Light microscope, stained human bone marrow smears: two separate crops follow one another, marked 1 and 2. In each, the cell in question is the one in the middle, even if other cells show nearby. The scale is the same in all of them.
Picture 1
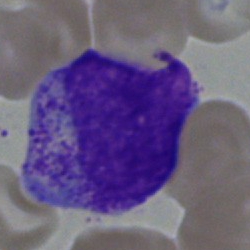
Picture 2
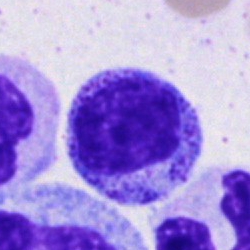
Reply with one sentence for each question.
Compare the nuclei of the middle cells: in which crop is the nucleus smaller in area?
It is the nucleus in picture 2; the one in picture 1 has about 1.5 times its area.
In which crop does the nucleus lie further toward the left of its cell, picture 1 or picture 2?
Seen within its cell, the nucleus in picture 2 lies further toward the left.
